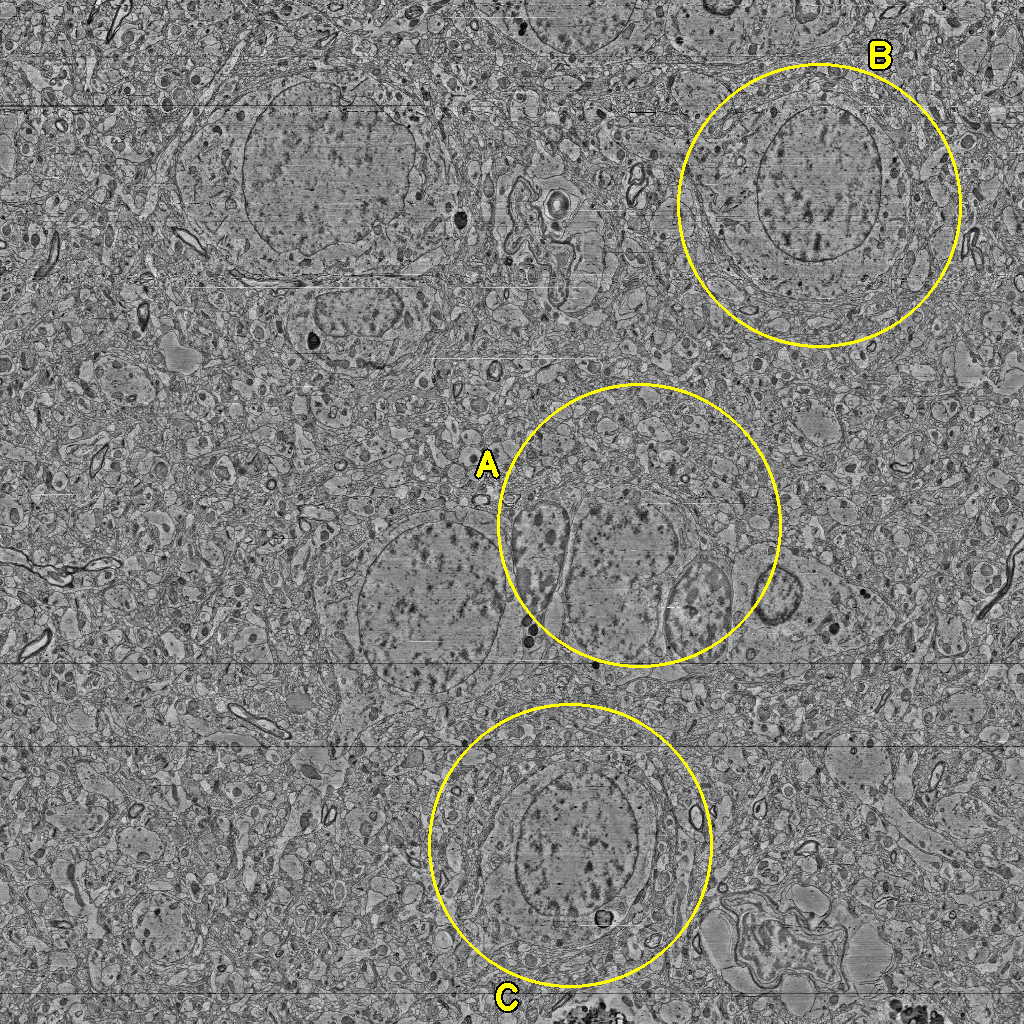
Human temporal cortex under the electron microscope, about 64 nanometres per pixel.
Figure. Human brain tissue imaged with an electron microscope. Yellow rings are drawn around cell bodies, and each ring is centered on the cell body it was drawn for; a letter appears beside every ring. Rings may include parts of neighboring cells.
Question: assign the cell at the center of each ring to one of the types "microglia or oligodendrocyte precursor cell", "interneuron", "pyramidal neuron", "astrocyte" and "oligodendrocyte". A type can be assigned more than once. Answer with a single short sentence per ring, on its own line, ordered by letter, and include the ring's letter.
Centered in ring A is an interneuron.
Centered in ring B is a pyramidal neuron.
Centered in ring C is a pyramidal neuron.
